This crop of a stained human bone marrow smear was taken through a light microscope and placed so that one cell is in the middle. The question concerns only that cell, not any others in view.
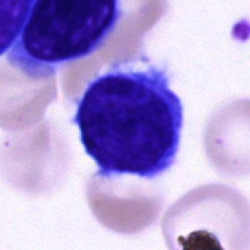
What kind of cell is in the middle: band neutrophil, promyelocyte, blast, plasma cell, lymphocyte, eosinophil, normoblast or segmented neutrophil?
lymphocyte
